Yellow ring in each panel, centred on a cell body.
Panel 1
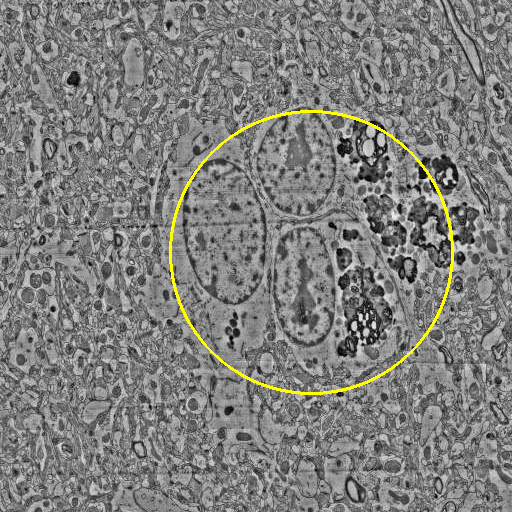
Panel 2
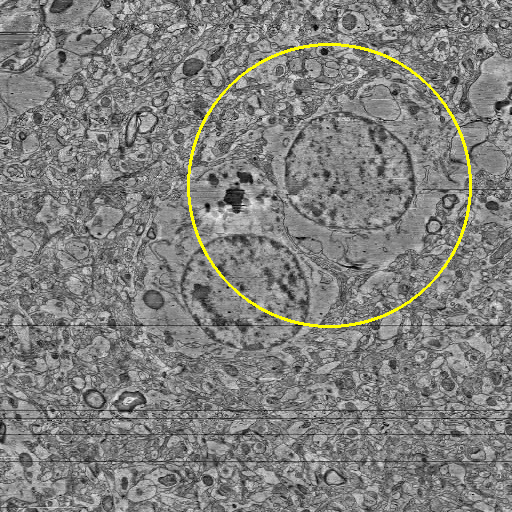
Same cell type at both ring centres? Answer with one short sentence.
Yes, both cells are of the same type.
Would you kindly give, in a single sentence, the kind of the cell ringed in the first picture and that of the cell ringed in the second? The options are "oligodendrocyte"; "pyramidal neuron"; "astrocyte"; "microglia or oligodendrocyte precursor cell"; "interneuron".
Each of the ringed cells, first and second, is an astrocyte.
